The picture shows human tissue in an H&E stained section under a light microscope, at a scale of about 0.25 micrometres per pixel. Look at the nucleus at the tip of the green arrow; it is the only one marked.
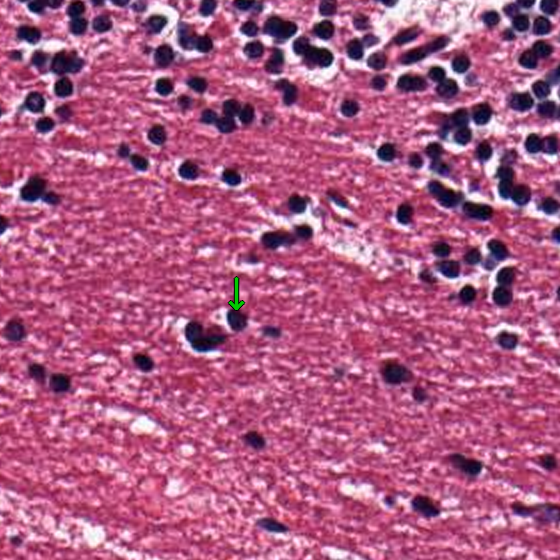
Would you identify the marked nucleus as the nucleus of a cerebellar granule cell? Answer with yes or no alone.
no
